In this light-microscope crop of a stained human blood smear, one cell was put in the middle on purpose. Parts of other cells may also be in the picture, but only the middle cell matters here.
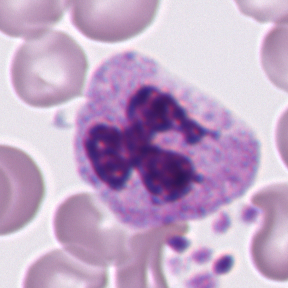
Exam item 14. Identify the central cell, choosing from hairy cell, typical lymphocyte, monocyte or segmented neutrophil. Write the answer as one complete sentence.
At the crop's centre, the cell is a segmented neutrophil.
